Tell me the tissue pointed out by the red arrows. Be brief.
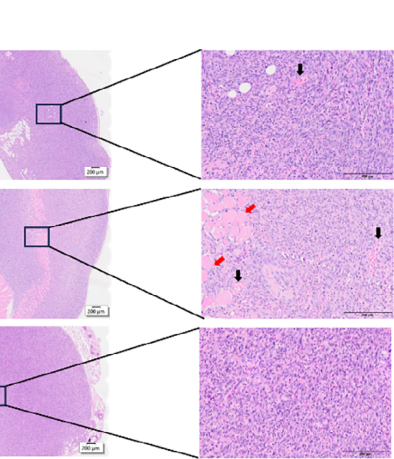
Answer: muscle fibers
